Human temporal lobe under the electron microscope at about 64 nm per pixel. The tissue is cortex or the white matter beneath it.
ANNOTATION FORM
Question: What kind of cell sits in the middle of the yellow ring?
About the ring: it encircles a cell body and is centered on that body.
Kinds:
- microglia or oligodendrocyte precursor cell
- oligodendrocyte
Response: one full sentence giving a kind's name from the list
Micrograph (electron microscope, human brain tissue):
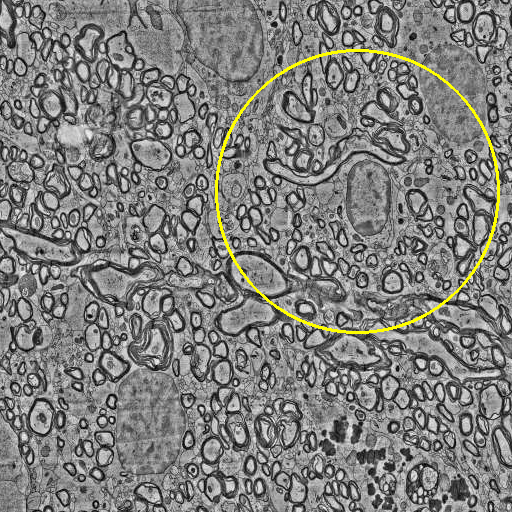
The kind of cell found at the center of the yellow ring in the micrograph is a microglial cell or oligodendrocyte precursor cell.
